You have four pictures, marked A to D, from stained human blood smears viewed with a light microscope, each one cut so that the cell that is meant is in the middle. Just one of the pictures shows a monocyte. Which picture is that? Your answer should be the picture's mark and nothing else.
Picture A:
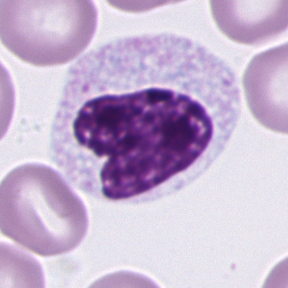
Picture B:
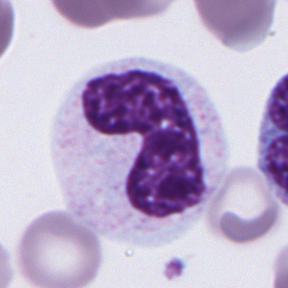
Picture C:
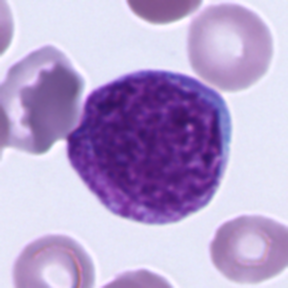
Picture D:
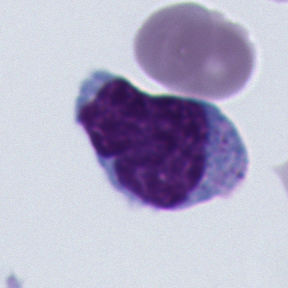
D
